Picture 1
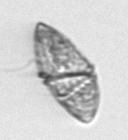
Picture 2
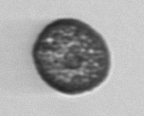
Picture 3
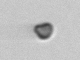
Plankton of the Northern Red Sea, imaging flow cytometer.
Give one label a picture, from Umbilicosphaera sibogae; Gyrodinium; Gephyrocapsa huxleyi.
(1) Gyrodinium
(2) Umbilicosphaera sibogae
(3) Gephyrocapsa huxleyi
